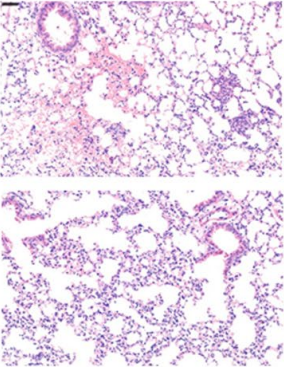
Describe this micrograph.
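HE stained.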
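Lung tissue made of many thin-walled air spaces separated by delicate septa, which carry small blue nuclei. A larger structure with a round lumen and a thicker wall is present in each image.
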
